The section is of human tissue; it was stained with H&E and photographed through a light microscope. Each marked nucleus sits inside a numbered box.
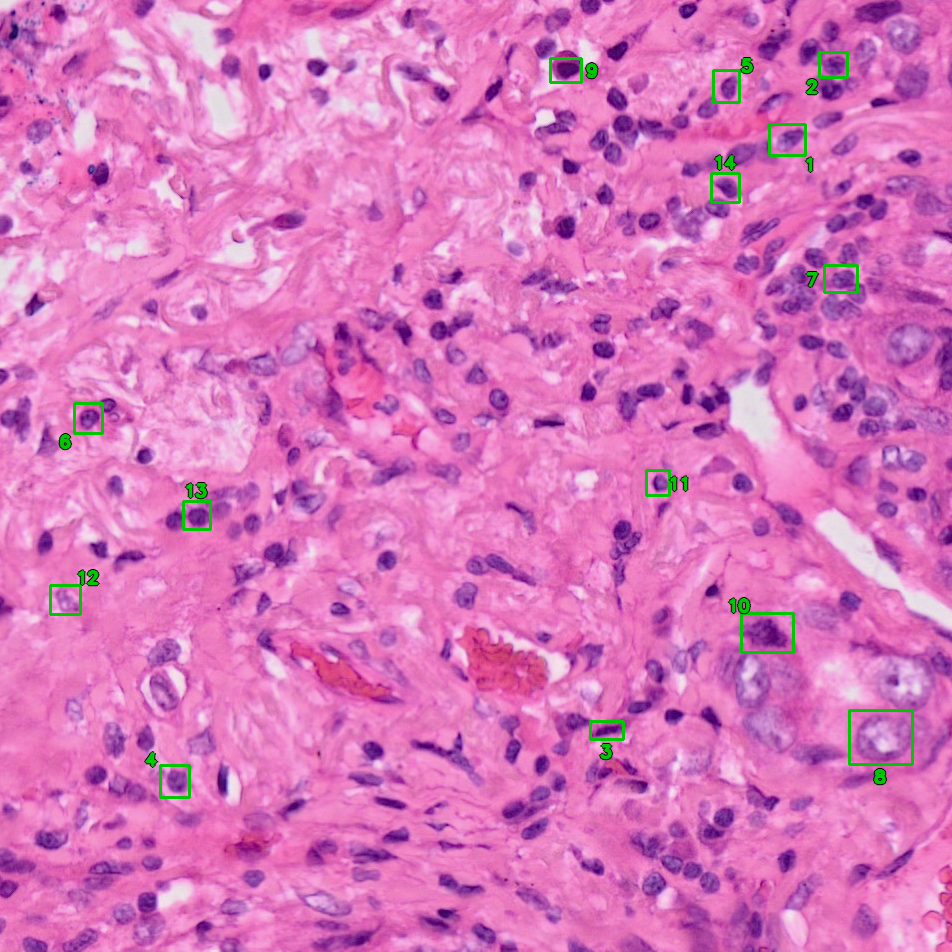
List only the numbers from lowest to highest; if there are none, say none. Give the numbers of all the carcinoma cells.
8, 10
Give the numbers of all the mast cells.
6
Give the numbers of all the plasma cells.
3, 9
